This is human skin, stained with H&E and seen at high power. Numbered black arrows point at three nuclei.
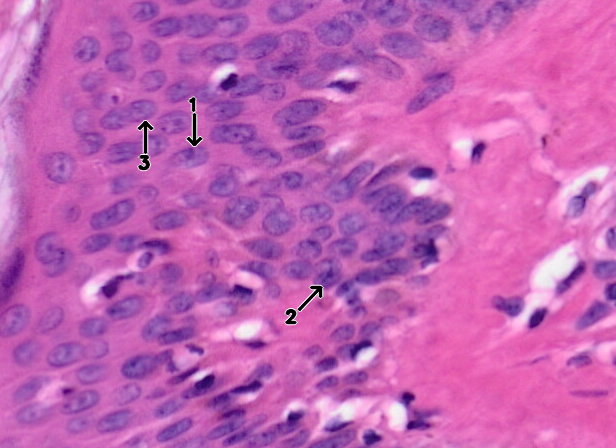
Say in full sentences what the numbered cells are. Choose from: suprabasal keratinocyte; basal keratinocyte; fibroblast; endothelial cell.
Cell 1 is a suprabasal keratinocyte, cell 2 is a basal keratinocyte and cell 3 is a suprabasal keratinocyte.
